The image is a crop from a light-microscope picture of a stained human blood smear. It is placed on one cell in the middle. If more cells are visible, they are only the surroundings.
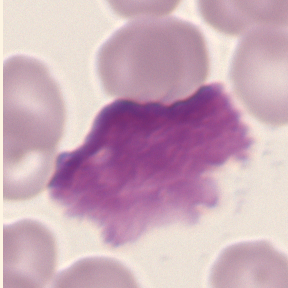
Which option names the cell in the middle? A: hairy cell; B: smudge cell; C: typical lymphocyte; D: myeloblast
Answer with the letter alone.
B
